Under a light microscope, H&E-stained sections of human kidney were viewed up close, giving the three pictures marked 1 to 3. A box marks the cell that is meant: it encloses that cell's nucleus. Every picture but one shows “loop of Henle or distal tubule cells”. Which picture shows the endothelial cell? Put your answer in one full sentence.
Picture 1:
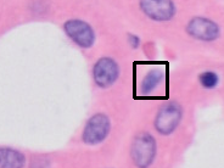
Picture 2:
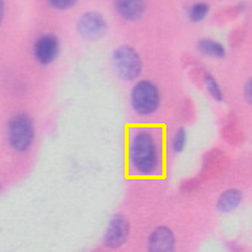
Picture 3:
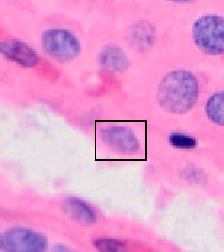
Picture 1 is the one that shows the endothelial cell.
